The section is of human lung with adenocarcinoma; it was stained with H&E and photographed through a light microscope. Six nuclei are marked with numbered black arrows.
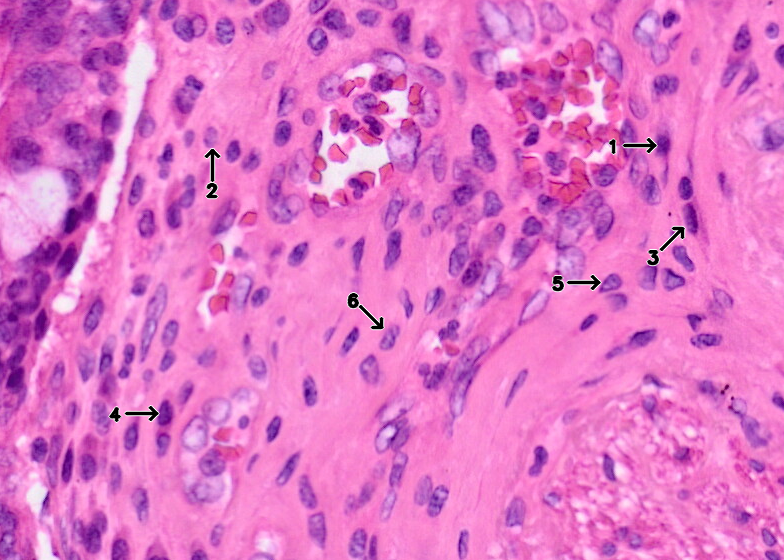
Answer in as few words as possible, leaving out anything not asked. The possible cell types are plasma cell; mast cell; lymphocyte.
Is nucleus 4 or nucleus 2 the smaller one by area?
2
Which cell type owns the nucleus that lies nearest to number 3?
mast cell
